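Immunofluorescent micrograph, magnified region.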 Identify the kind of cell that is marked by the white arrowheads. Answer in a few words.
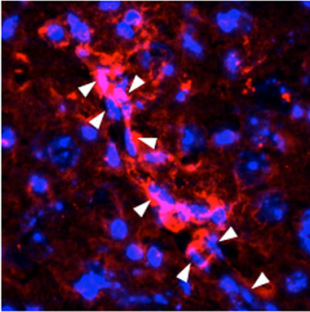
Vascular endothelial cells.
